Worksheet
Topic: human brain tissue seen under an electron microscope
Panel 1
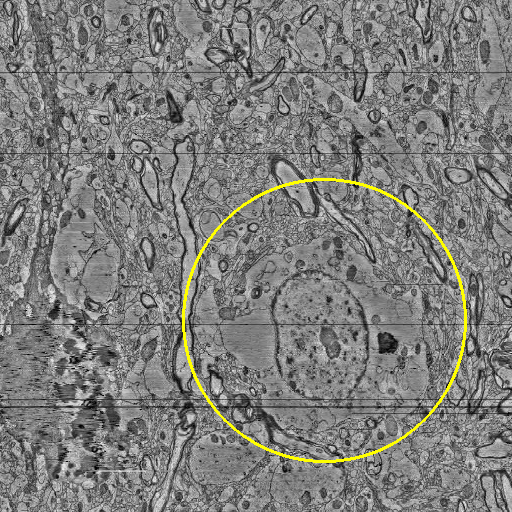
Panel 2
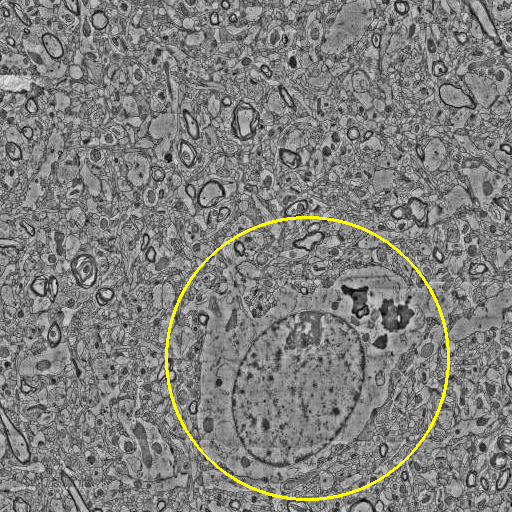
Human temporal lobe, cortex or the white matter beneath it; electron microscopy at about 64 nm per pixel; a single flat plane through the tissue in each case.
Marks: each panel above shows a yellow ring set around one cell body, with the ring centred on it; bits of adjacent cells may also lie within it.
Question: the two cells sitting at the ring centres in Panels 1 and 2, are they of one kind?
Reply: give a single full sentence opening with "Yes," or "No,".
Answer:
Yes, the two ring-centre cells in Panel 1 and Panel 2 are of one kind.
